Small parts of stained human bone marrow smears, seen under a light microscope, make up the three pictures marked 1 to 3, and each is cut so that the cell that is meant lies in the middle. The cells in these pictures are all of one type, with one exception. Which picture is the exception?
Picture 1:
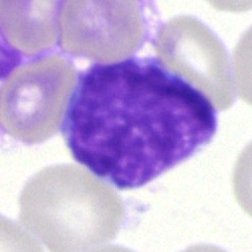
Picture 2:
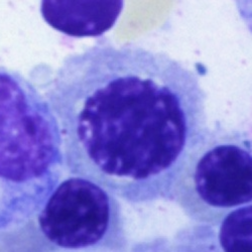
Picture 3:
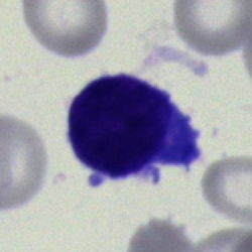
2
